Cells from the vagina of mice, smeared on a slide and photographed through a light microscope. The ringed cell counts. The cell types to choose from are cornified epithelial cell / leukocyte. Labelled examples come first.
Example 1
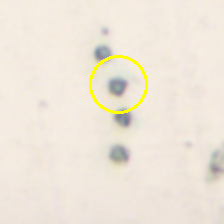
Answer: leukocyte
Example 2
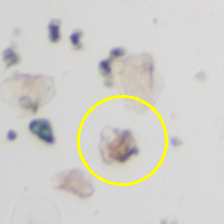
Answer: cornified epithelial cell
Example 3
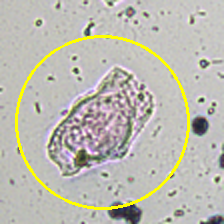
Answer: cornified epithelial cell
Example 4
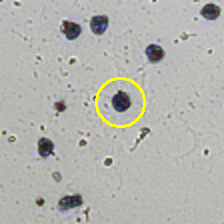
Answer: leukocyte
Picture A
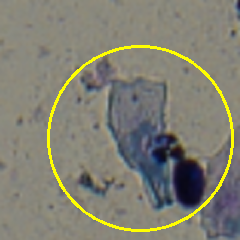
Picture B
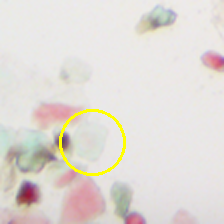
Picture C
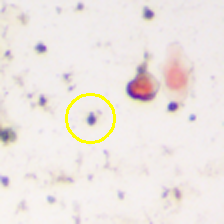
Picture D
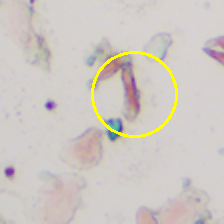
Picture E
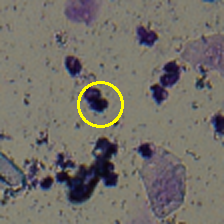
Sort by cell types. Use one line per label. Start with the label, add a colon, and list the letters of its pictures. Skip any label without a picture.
cornified epithelial cell: A, B, D
leukocyte: C, E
